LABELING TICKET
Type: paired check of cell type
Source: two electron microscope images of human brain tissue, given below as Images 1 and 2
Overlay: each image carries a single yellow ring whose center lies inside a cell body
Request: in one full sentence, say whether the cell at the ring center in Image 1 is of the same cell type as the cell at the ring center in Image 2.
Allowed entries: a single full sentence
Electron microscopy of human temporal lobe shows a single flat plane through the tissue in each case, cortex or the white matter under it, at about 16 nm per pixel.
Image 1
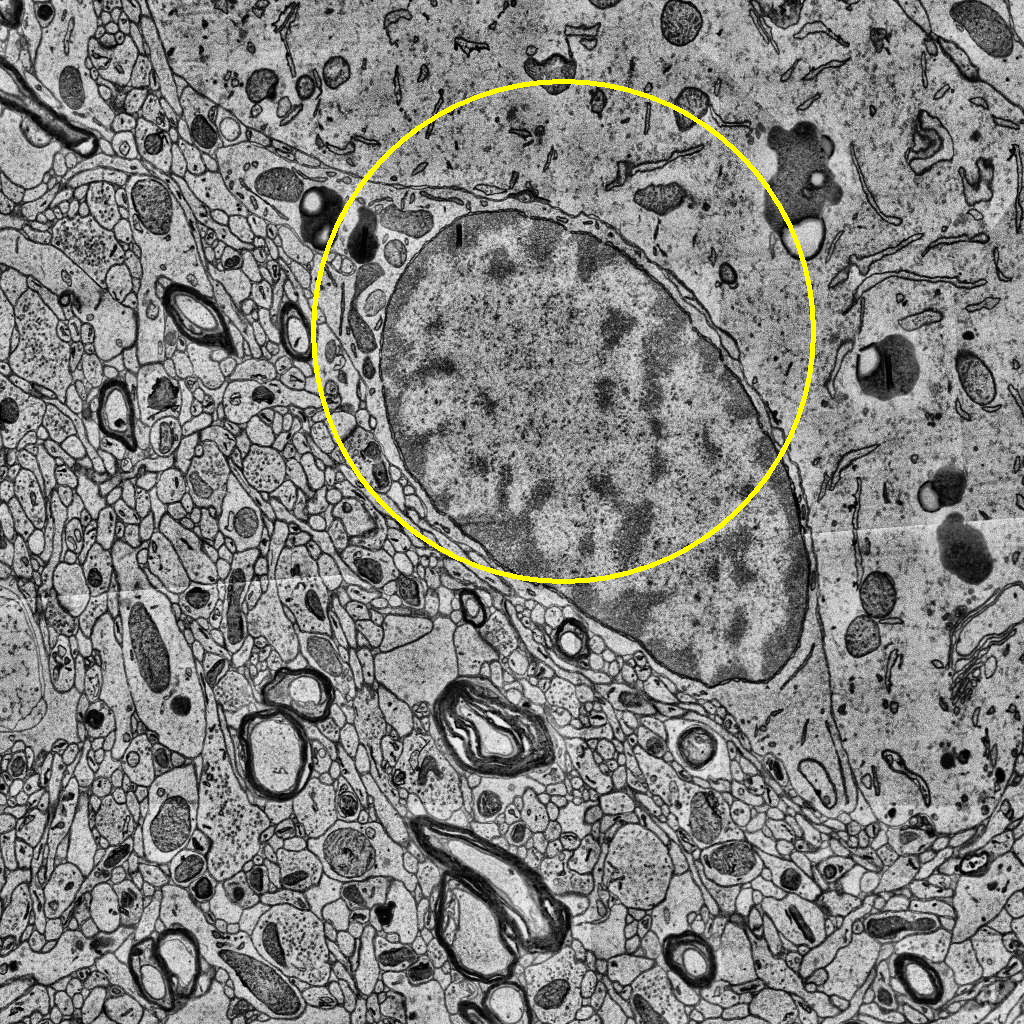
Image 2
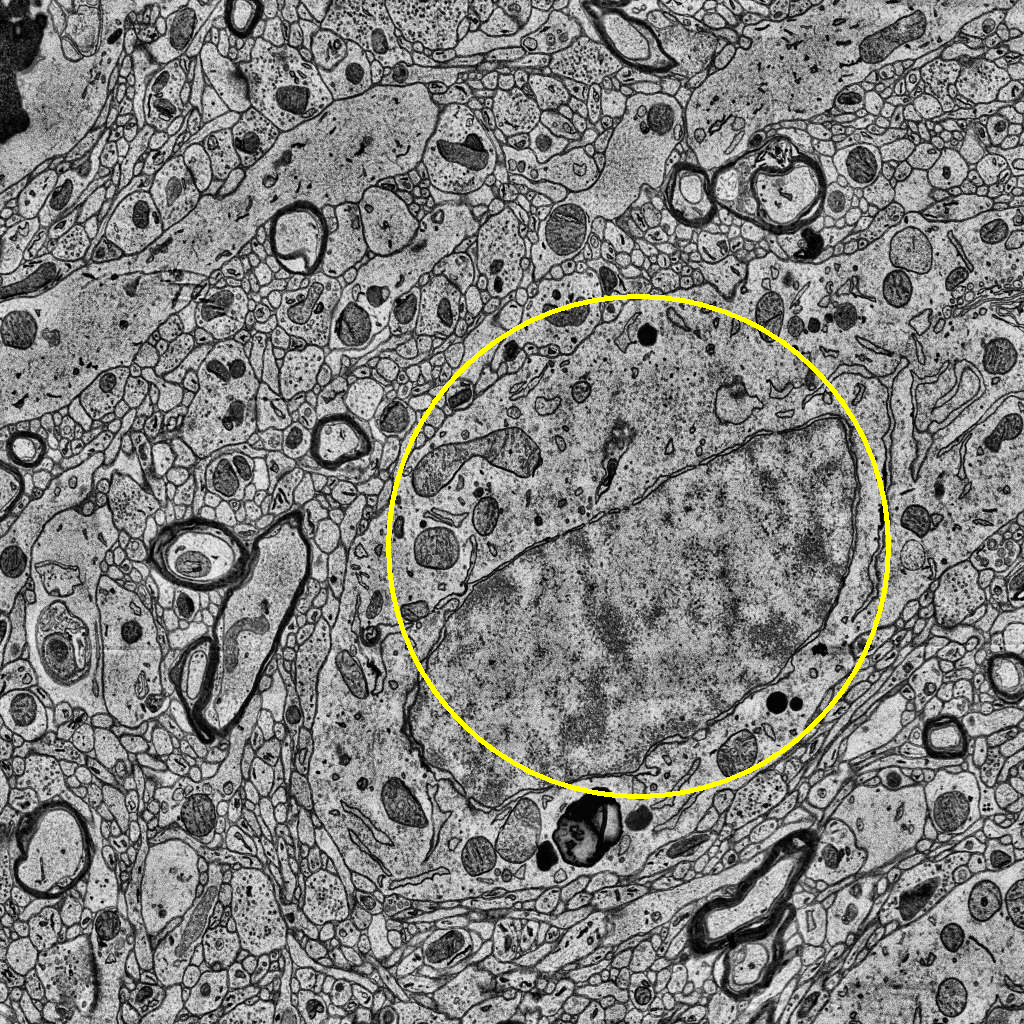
No, the cells at the ring centers of Image 1 and Image 2 are of two types.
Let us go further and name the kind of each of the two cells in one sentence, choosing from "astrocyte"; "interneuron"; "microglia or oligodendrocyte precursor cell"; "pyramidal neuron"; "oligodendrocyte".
Here the first cell is a microglial cell or oligodendrocyte precursor cell and the second cell is an interneuron.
